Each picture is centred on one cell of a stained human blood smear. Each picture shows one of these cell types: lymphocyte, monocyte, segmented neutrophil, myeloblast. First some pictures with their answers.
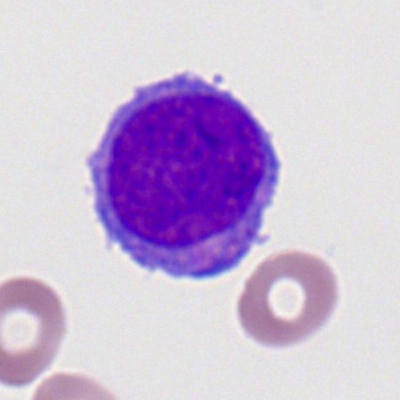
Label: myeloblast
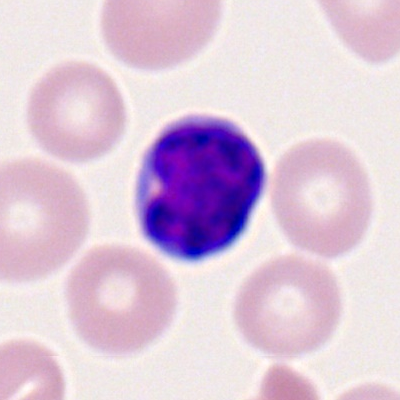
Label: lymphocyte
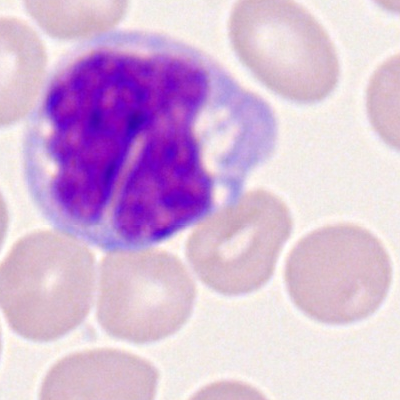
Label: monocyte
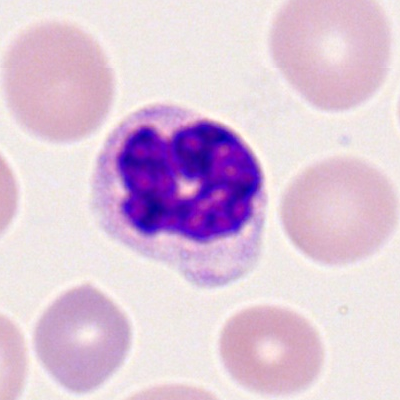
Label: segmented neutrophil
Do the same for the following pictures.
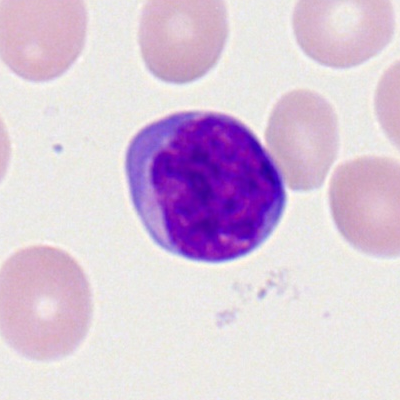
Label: lymphocyte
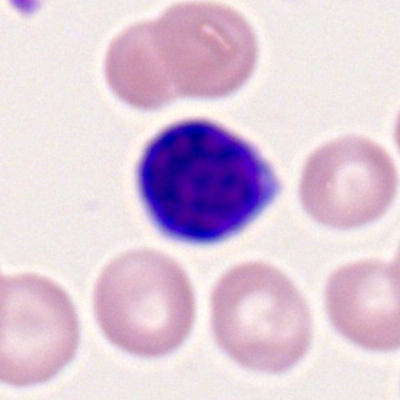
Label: lymphocyte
